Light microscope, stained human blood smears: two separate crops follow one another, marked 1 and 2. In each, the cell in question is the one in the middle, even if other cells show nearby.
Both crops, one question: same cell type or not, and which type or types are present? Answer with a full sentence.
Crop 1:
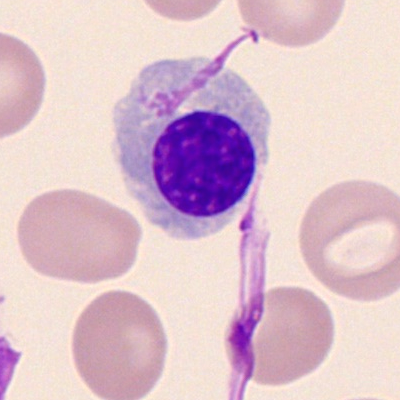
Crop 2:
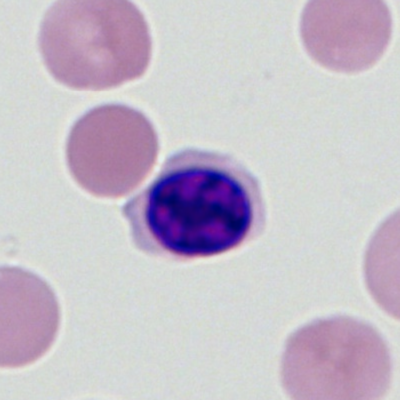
Yes, the cells placed at the centre of both crops are normoblasts.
